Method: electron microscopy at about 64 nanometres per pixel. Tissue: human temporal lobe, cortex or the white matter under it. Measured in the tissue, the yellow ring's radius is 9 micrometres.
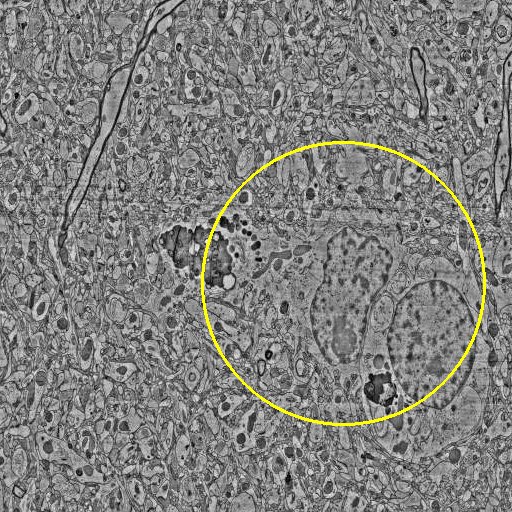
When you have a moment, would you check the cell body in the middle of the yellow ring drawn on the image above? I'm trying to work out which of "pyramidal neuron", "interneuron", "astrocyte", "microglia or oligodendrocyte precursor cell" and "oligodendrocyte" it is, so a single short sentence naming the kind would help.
This cell body belongs to an astrocyte.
